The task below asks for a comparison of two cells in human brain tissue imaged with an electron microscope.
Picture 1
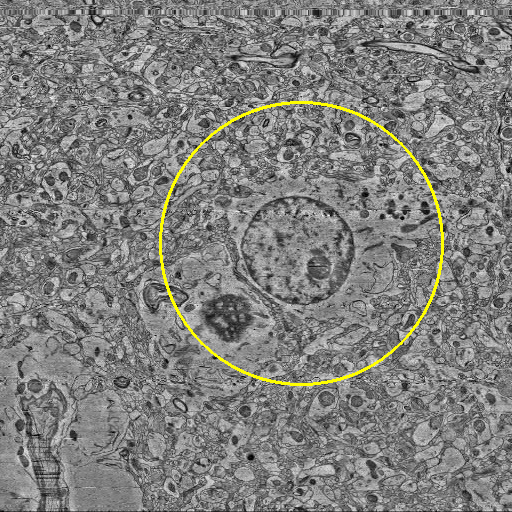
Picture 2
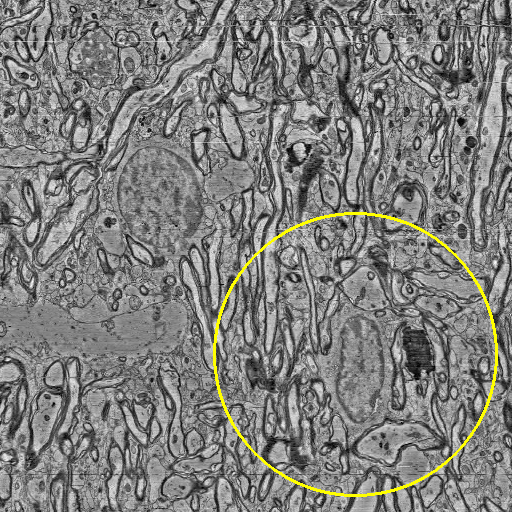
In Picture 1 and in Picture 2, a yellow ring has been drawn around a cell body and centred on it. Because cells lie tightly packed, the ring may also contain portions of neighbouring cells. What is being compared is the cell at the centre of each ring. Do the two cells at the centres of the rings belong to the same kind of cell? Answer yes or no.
no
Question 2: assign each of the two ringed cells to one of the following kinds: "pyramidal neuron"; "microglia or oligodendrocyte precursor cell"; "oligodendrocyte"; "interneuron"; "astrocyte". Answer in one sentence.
The two cells are an astrocyte in the first picture and an oligodendrocyte in the second.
